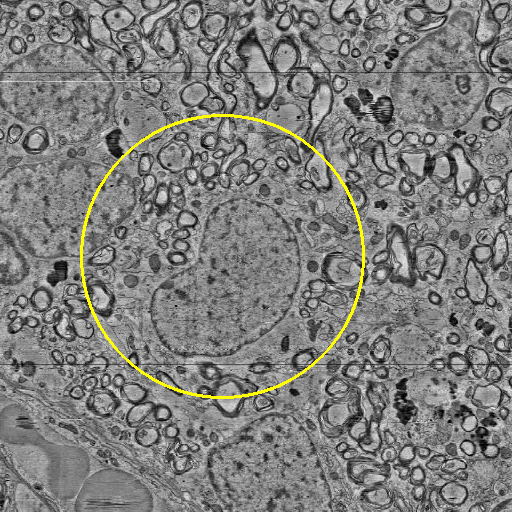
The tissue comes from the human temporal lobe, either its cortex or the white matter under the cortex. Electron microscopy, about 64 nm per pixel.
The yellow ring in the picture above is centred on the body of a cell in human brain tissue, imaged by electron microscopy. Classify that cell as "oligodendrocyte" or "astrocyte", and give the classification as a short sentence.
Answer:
The cell in the middle of the ring is an astrocyte.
